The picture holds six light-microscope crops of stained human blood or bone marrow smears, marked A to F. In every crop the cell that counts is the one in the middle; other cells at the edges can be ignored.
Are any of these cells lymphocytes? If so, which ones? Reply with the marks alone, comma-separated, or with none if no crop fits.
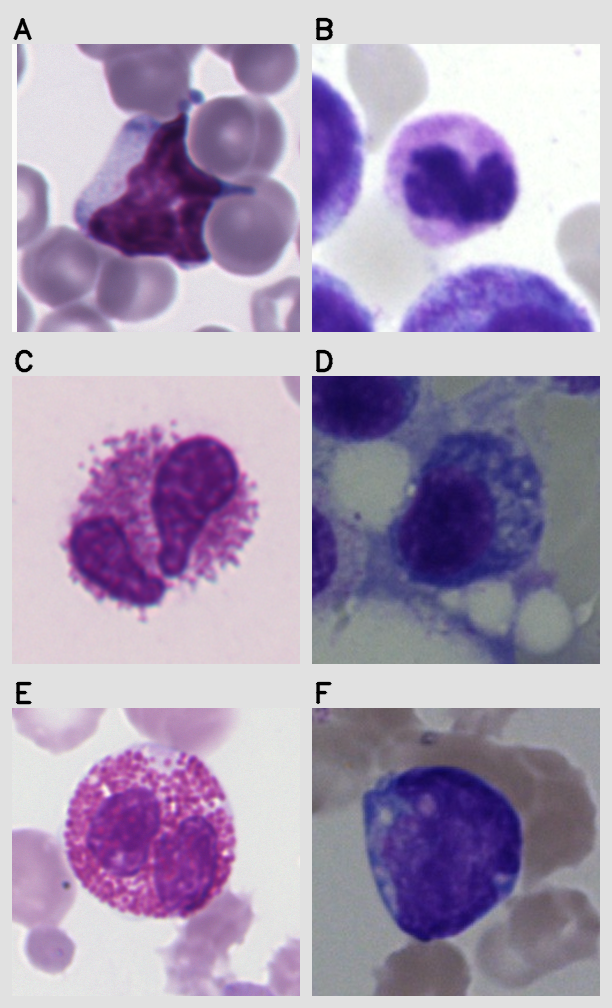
A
